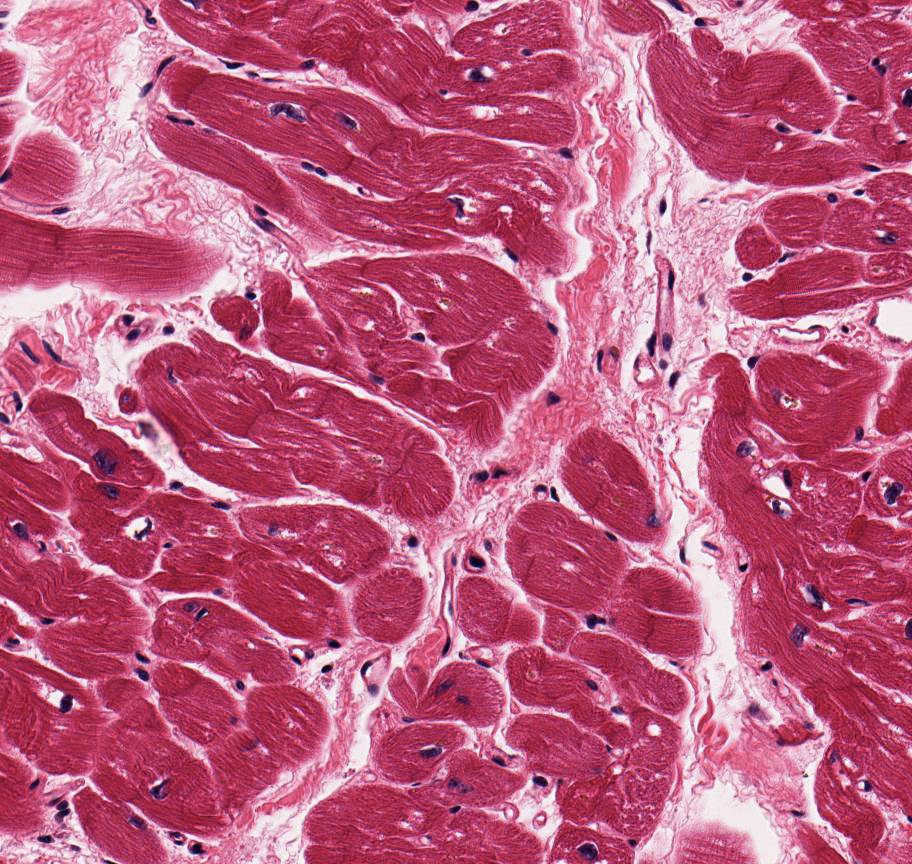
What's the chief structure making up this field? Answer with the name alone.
myocardium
